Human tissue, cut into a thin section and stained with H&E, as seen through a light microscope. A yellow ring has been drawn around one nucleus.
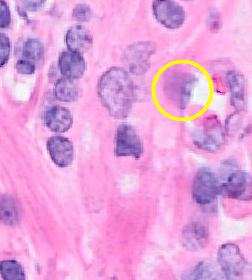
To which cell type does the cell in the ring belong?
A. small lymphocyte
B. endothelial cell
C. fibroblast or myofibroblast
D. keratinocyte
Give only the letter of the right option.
B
